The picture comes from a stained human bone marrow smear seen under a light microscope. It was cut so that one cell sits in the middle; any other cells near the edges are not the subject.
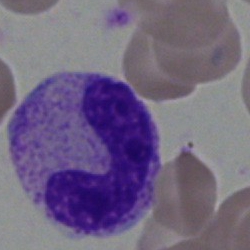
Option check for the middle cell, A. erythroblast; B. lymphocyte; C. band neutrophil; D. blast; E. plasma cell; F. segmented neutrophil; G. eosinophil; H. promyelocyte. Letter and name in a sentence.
Occupying the middle of the crop is a band neutrophil, hence option C is correct.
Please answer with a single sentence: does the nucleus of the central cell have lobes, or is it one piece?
See how the nucleus sits as one compact round, oval or kidney-shaped mass.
